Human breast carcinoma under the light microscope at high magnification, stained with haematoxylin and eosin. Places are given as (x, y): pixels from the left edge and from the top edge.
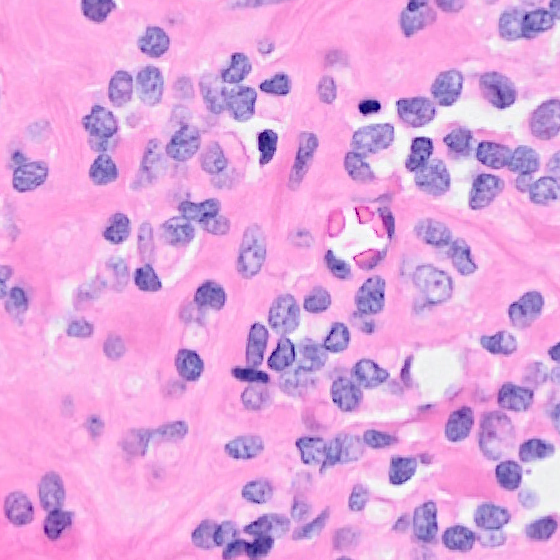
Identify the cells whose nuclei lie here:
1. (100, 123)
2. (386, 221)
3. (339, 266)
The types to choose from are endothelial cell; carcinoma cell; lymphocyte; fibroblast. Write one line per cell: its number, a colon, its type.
1: carcinoma cell
2: endothelial cell
3: endothelial cell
